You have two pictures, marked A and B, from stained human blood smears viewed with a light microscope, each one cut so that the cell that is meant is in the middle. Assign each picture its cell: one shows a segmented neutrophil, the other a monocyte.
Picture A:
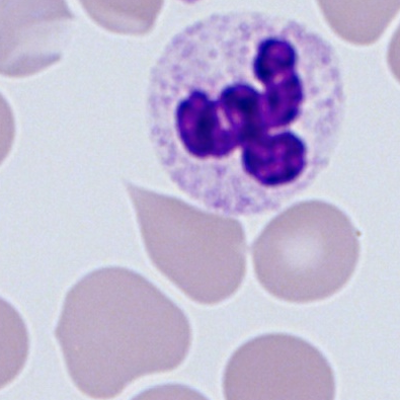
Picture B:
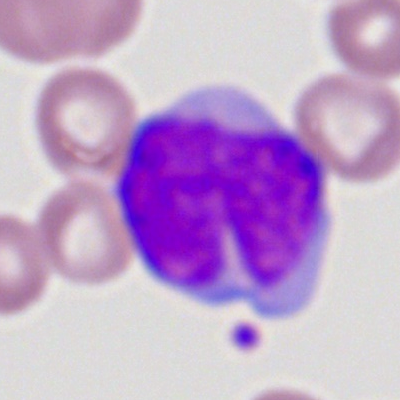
A: segmented neutrophil
B: monocyte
